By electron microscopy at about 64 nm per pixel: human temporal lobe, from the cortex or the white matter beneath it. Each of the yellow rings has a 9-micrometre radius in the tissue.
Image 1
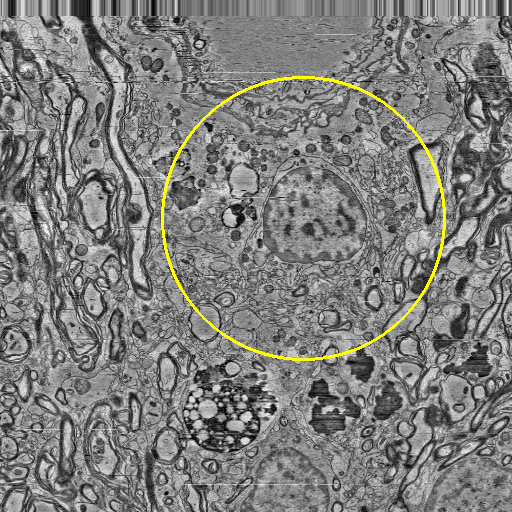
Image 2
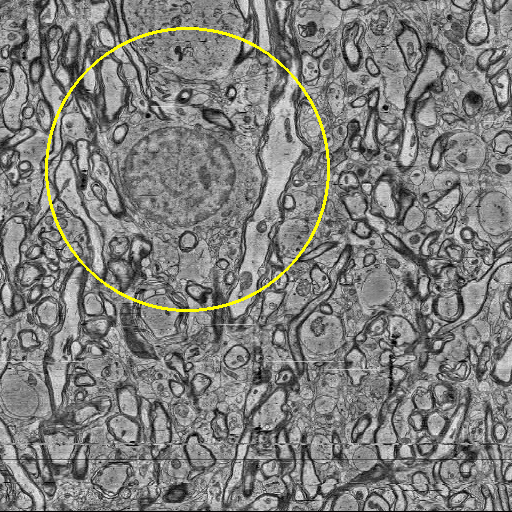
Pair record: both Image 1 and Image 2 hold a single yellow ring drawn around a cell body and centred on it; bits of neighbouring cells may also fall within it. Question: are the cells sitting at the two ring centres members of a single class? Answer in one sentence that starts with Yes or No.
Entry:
No, the ring-centre cells in Image 1 and Image 2 come from two classes.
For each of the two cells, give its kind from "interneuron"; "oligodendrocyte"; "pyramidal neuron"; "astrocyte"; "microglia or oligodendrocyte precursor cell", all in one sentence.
The first picture has a microglial cell or oligodendrocyte precursor cell in its ring, the second has an oligodendrocyte.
